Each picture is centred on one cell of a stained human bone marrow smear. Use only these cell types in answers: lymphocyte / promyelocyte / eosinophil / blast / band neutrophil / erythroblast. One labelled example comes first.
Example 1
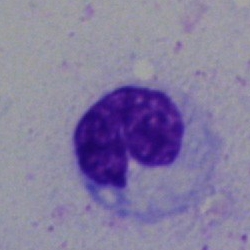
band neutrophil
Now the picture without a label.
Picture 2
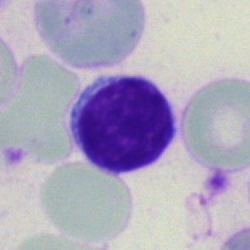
lymphocyte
